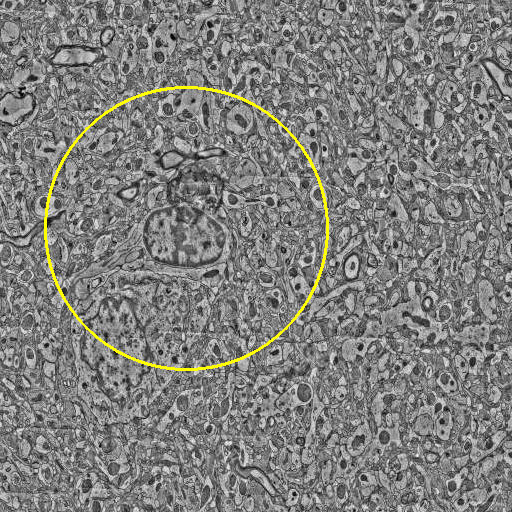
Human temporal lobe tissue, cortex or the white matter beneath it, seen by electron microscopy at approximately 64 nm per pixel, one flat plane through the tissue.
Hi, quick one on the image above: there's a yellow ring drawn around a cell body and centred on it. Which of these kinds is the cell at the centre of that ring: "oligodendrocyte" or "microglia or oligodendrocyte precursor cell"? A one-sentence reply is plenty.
The cell at the centre of the ring is a microglial cell or oligodendrocyte precursor cell.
